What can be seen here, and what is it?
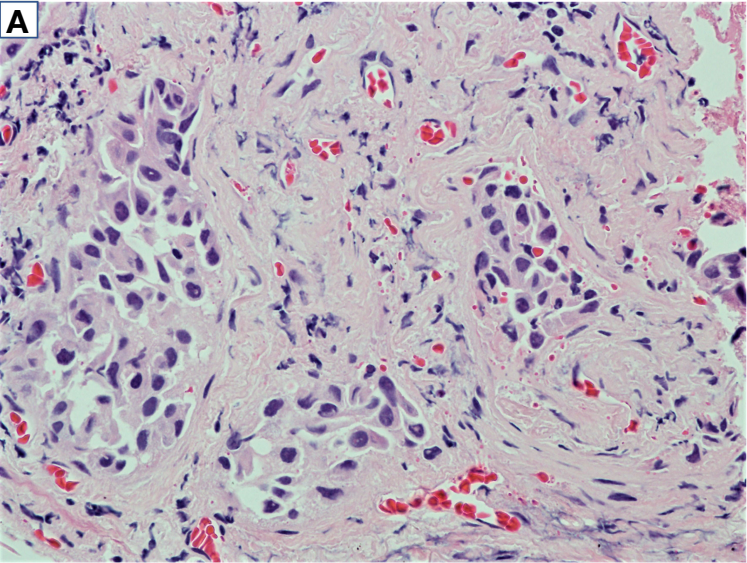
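The tumor cells are large, with ample pale pink to clear cytoplasm, and form loose clusters rather than a single orderly layer. Their nuclei are enlarged, dark and irregular, and they vary a good deal in size and shape from cell to cell. Between the clusters the stroma holds scattered spindle-shaped cells and many small vessels packed with bright red blood cells.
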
